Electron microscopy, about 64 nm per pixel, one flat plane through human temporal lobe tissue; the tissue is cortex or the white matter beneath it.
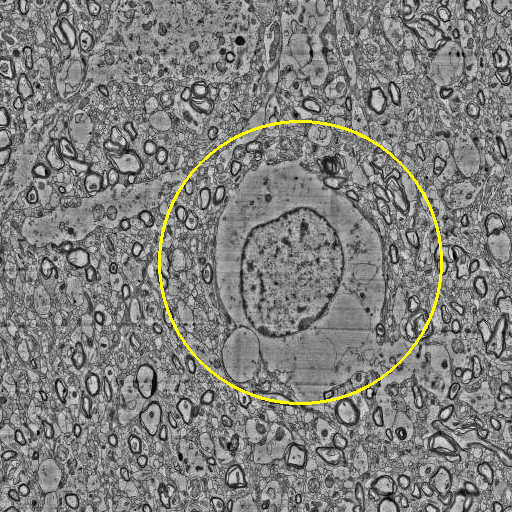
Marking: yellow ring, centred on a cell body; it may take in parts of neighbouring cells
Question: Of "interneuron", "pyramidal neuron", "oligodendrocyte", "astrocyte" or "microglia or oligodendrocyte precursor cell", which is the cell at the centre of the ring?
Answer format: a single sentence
The ring surrounds the body of an astrocyte.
